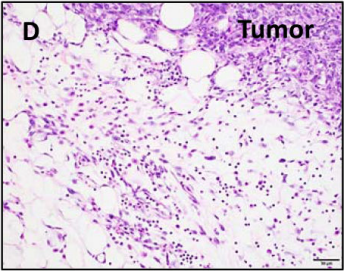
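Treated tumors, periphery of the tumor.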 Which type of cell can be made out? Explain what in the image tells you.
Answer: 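Small cells with dark nuclei are scattered through loose pale tissue among round clear spaces.
Inflammatory cells.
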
